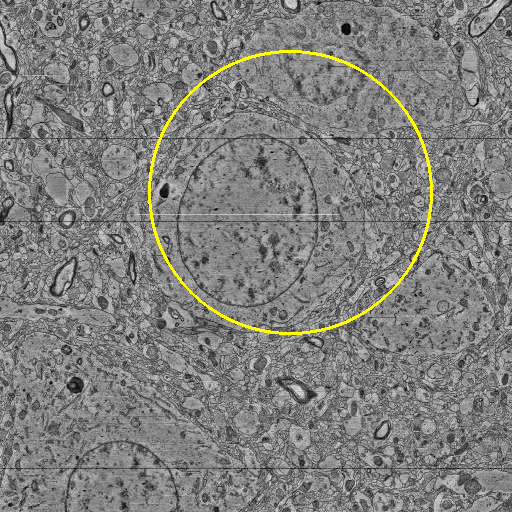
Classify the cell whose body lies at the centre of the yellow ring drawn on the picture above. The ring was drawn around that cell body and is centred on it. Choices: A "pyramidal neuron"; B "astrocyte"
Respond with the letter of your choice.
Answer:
A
